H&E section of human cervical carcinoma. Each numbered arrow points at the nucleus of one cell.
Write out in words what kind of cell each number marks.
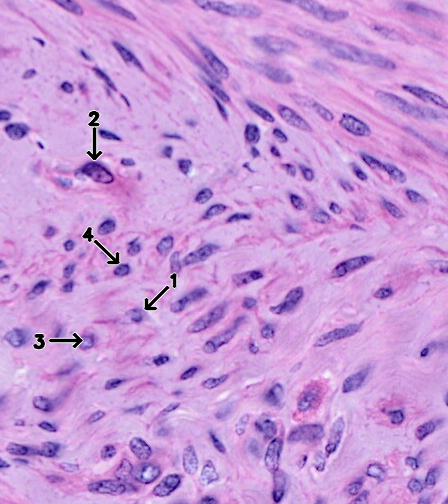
Cell 1 is a smooth muscle cell, cell 2 is an endothelial cell, cell 3 is a smooth muscle cell and cell 4 is a smooth muscle cell.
